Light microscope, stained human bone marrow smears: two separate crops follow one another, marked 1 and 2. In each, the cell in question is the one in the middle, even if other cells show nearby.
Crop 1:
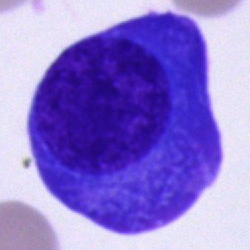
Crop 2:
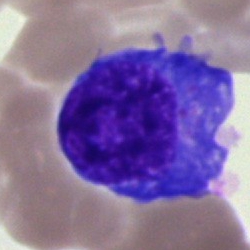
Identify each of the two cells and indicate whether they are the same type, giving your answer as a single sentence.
Yes, the centre of both crops is taken up by plasma cells.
